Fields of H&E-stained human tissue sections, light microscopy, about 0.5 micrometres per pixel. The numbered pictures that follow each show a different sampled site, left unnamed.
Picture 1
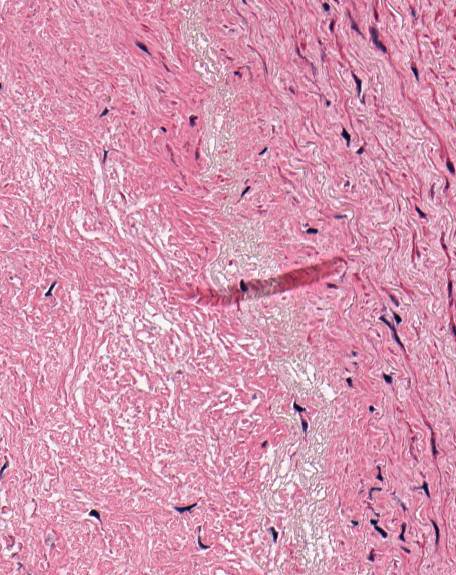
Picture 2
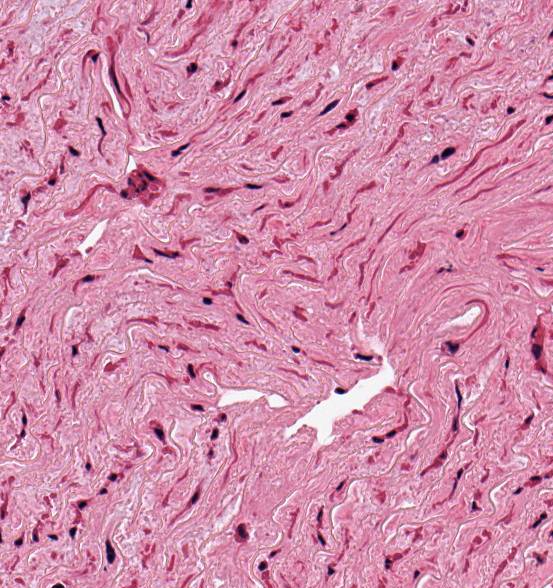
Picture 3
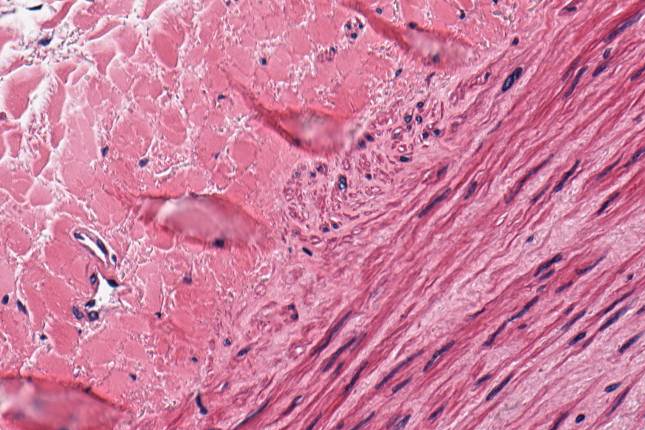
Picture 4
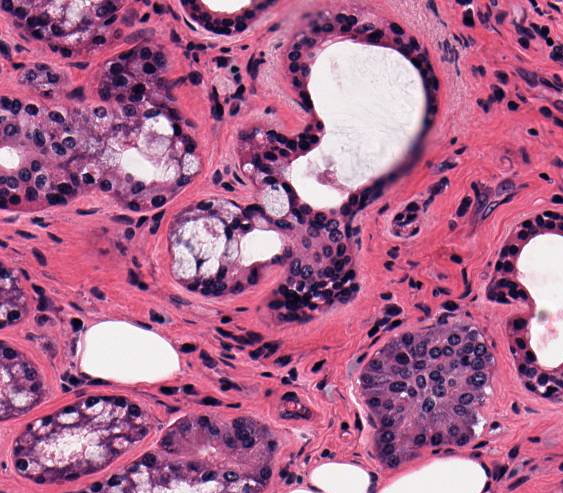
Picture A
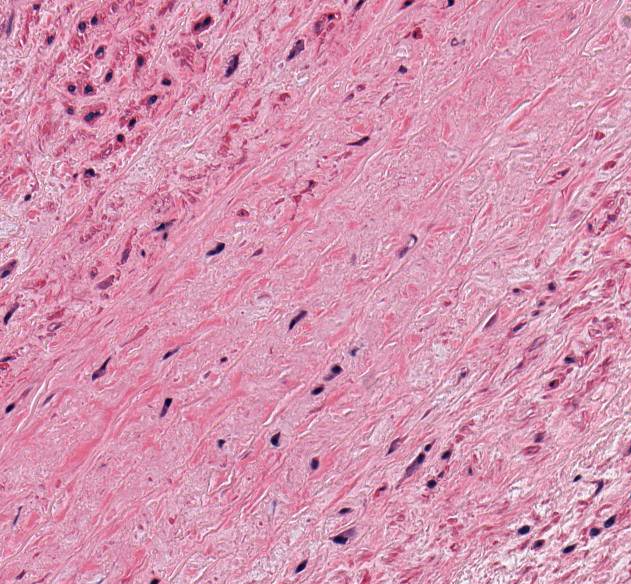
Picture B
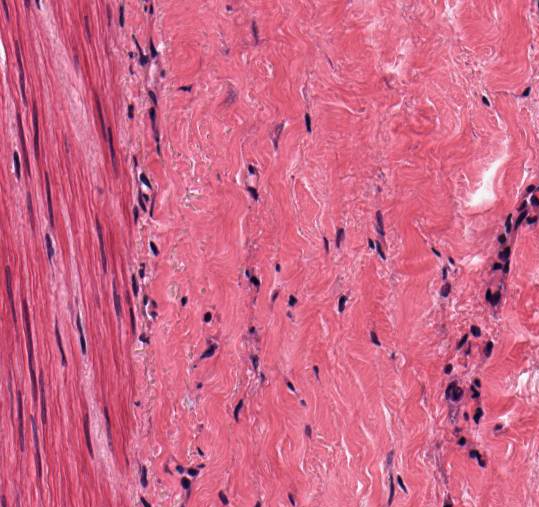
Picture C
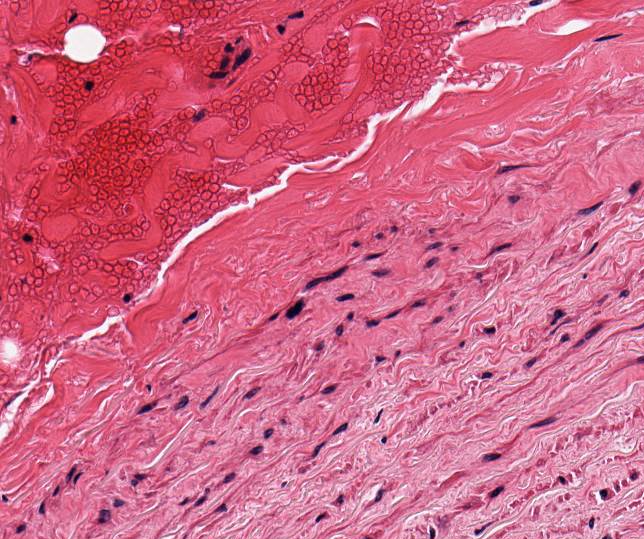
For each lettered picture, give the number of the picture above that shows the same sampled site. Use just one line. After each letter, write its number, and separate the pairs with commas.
A 2, B 1, C 2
